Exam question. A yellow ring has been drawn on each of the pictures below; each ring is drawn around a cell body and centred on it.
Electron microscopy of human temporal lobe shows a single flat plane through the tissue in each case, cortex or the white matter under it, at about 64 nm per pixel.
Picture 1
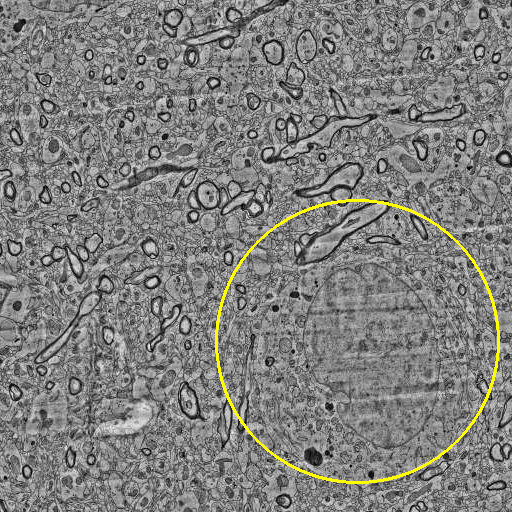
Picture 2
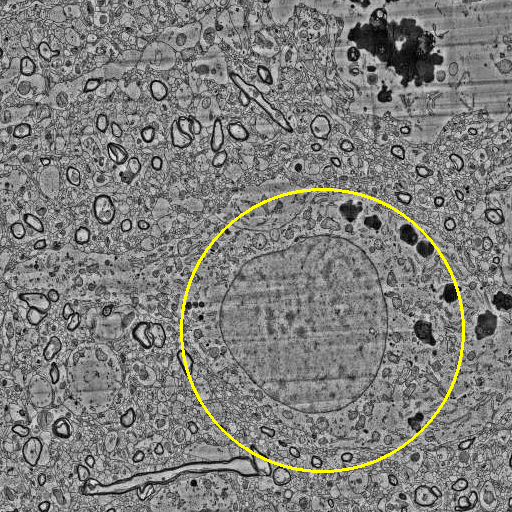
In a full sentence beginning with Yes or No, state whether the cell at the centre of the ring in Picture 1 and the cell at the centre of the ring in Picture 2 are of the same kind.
Yes, the two cells are of the same kind.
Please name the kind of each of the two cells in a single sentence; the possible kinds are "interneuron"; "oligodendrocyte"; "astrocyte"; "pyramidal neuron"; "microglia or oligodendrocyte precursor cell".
The ring centre holds an interneuron in each of the two pictures.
